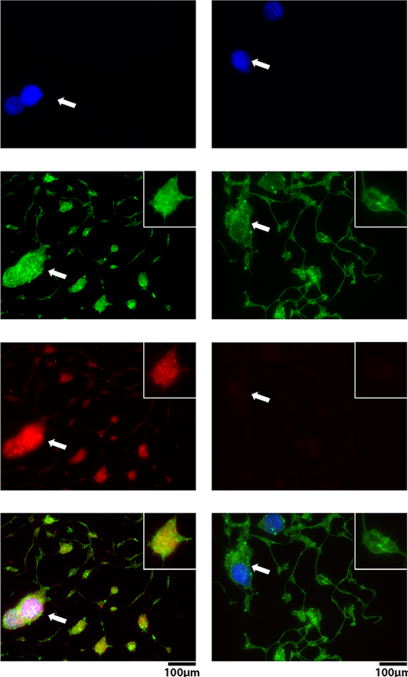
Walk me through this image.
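In the blue row only a few nuclei appear, and the one under the arrow is large. In the green row each field holds a big, irregular cell body beside many smaller cells, and from these stretch long, very thin, branching threads with small swellings along them, the proplatelets, enlarged in the corner inset. In the red row the left column shows bright red filling the large cell body and fainter red in the smaller cells, while the right column is almost dark.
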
